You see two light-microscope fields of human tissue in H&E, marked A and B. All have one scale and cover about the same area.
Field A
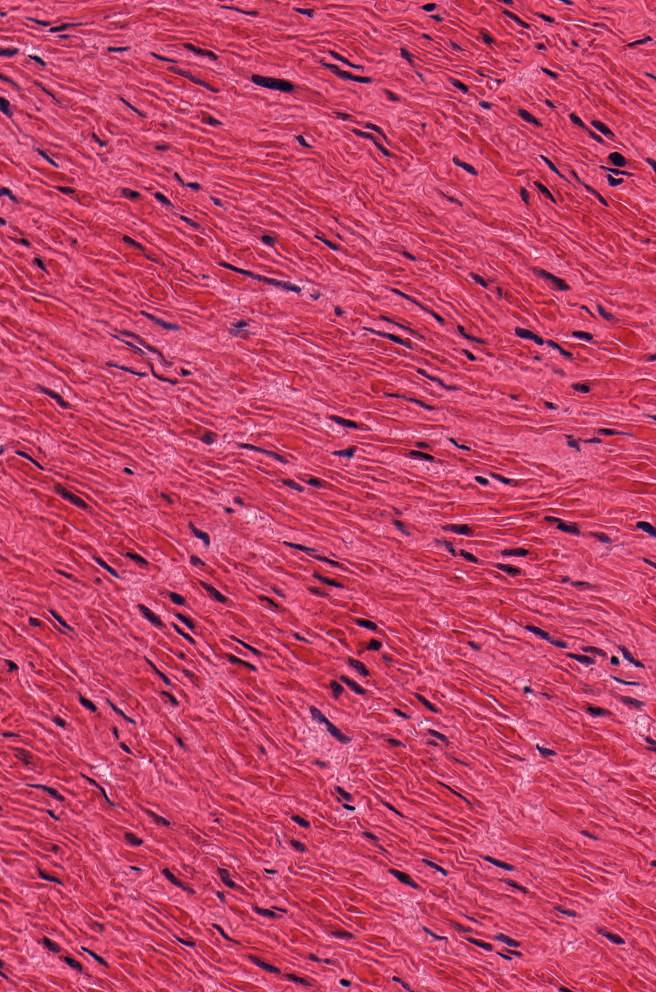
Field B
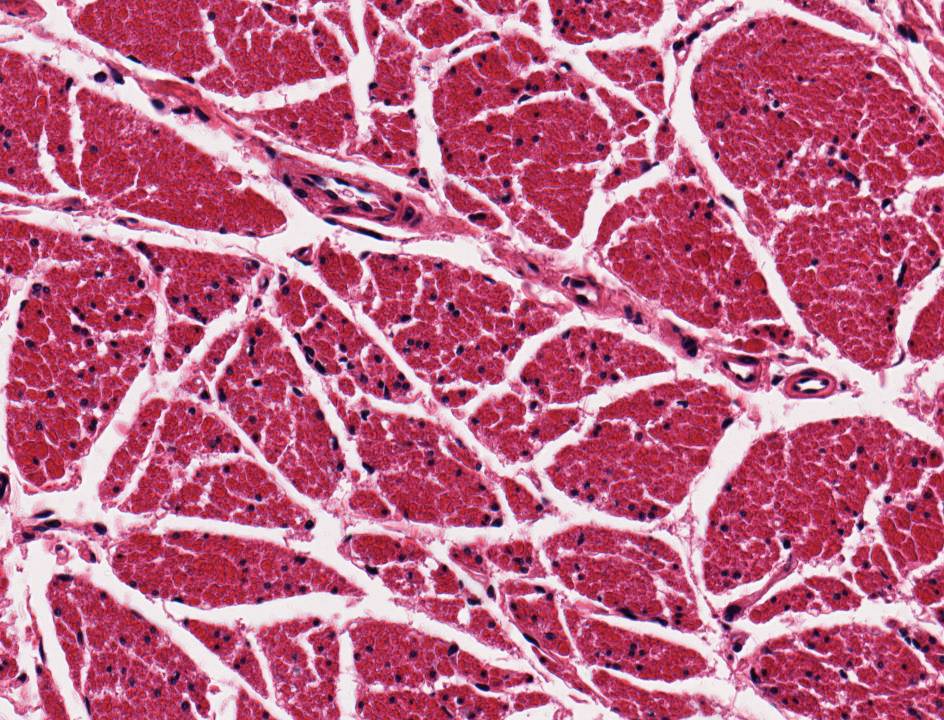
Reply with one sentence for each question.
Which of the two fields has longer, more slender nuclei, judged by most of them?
It is field A whose nuclei are the more elongated.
